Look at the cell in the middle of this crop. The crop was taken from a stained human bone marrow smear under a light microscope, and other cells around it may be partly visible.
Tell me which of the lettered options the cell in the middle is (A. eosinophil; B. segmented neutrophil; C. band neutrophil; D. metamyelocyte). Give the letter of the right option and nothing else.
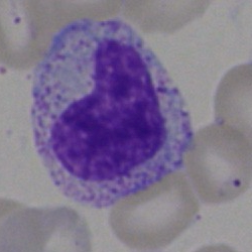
D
